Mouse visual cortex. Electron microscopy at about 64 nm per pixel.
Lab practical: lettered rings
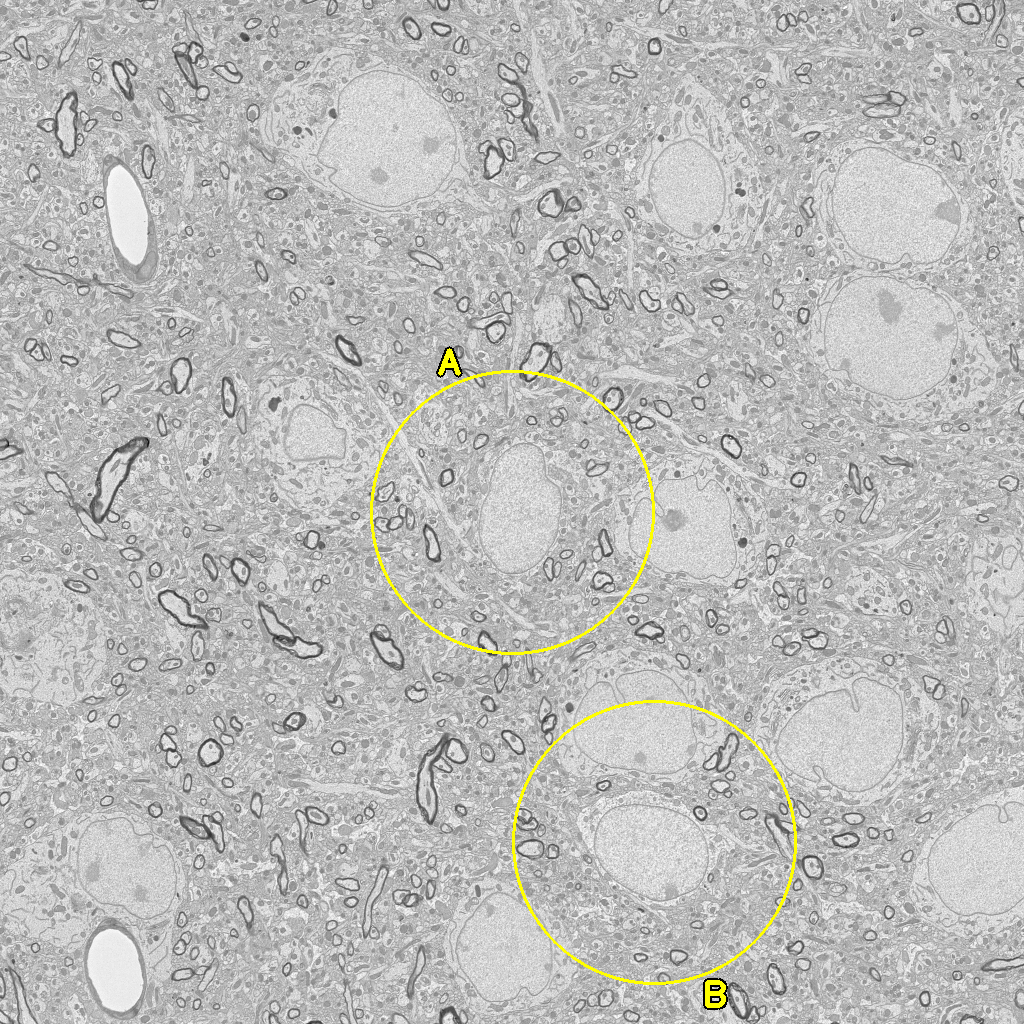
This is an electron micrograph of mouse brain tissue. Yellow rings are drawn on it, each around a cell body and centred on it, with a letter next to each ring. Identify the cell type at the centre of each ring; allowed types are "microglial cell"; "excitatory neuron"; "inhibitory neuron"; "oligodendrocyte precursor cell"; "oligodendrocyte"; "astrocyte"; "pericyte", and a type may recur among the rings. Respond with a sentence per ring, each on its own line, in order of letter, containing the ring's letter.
Lying at the centre of ring A is an astrocyte.
Lying at the centre of ring B is an astrocyte.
